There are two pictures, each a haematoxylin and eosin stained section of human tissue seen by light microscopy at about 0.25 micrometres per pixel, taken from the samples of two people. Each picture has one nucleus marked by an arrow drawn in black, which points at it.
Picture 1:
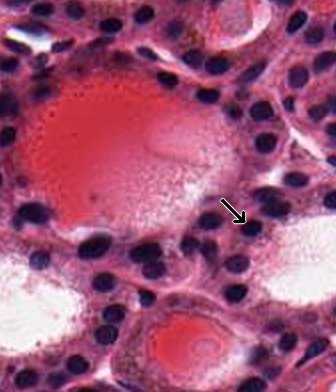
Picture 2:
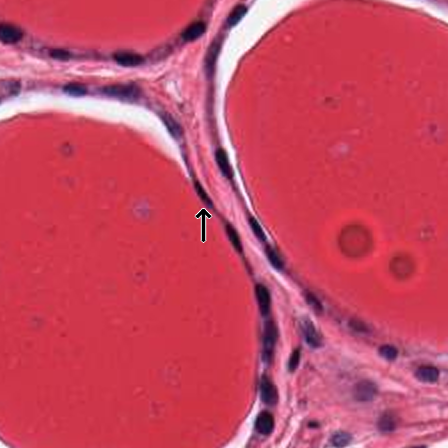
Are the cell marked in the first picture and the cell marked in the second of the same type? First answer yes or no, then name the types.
Yes, both are thyroid follicular cells.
